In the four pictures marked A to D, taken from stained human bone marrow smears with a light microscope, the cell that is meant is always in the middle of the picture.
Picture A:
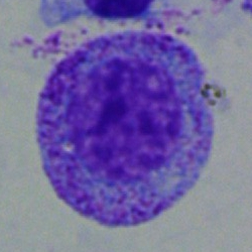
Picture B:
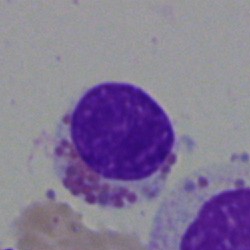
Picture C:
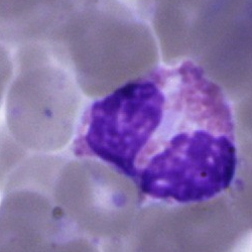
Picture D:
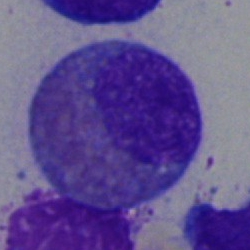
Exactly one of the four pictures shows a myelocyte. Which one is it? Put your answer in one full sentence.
The myelocyte is the one in picture A.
